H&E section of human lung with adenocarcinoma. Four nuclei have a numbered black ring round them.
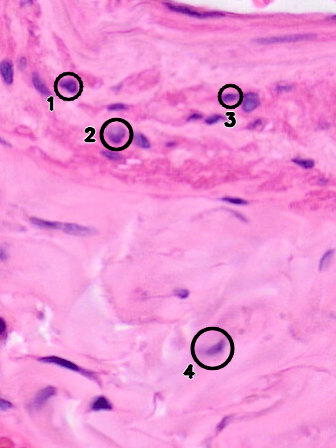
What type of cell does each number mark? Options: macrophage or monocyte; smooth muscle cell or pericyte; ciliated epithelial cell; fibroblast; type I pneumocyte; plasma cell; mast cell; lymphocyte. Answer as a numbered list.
1. smooth muscle cell or pericyte
2. smooth muscle cell or pericyte
3. smooth muscle cell or pericyte
4. fibroblast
